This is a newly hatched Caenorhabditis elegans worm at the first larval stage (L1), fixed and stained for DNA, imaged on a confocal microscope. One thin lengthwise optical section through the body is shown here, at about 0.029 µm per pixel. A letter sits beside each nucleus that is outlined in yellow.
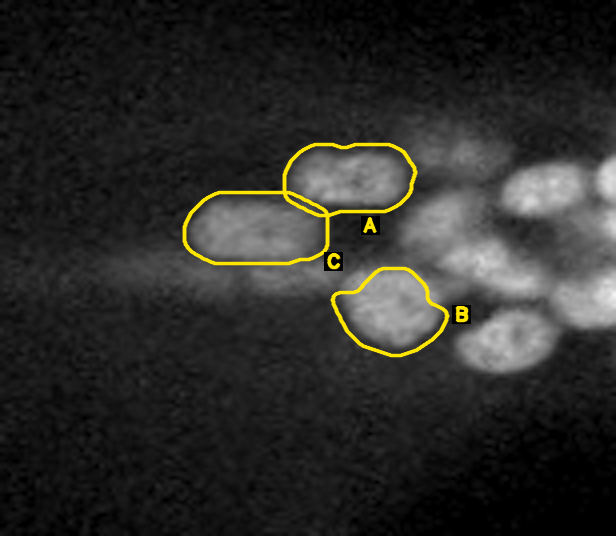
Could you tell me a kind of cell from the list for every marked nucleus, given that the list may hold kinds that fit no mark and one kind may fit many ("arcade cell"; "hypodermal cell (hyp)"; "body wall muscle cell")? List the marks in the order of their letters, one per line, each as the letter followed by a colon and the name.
A: body wall muscle cell
B: body wall muscle cell
C: hypodermal cell (hyp)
